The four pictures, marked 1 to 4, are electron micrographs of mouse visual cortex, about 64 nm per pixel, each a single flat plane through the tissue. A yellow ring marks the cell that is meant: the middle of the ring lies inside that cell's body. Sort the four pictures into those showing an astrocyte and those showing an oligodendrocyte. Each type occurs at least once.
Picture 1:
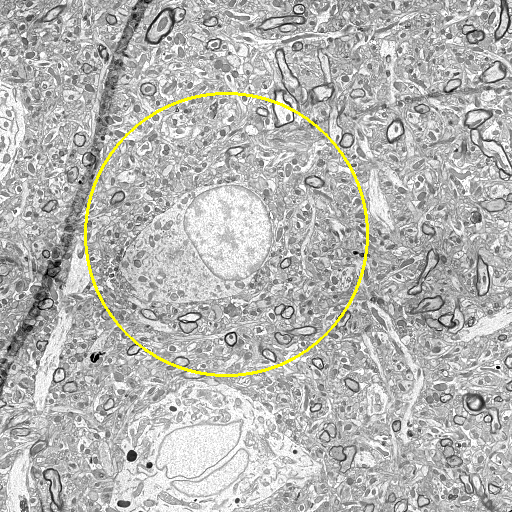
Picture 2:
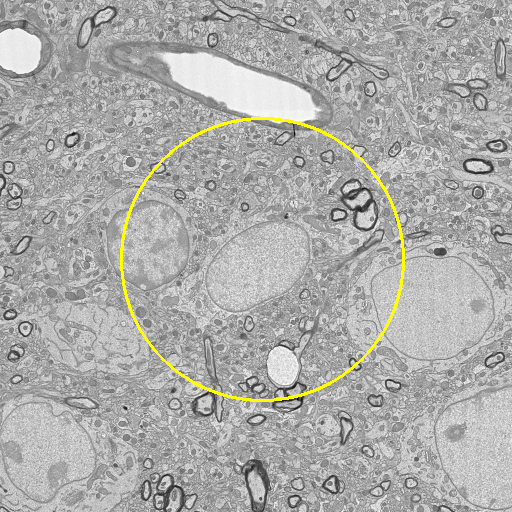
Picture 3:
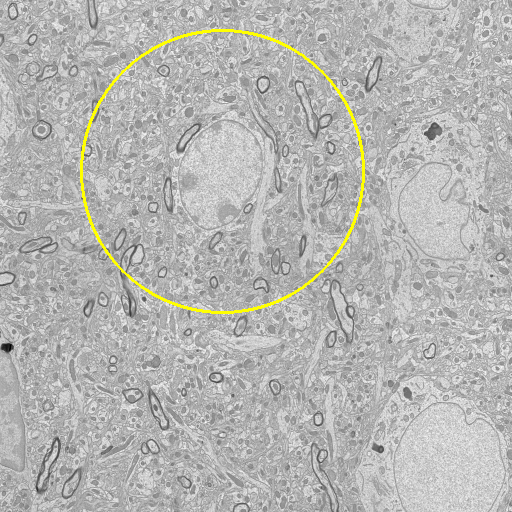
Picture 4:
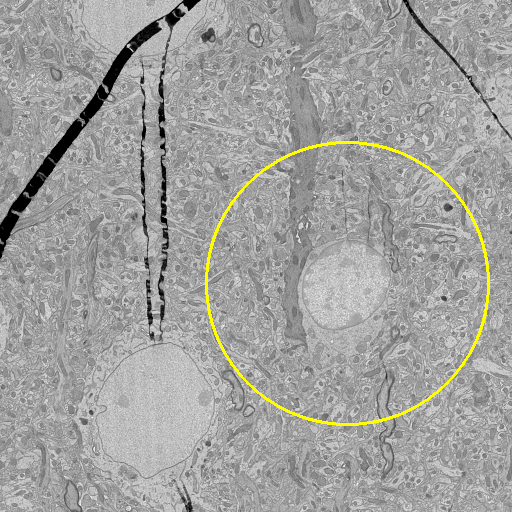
Pictures 2 and 3 show astrocytes, while pictures 1 and 4 show oligodendrocytes.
